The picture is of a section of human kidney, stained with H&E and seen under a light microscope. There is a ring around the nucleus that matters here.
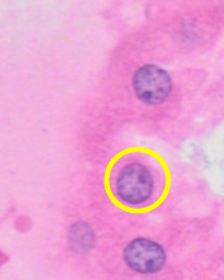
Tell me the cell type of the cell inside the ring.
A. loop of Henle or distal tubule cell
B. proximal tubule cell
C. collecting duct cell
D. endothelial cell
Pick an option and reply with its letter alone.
B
